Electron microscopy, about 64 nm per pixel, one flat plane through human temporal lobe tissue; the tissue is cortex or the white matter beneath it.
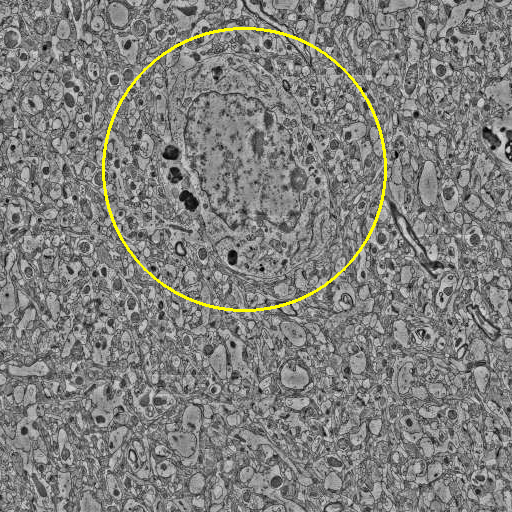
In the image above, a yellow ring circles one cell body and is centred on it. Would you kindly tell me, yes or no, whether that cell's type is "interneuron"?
yes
